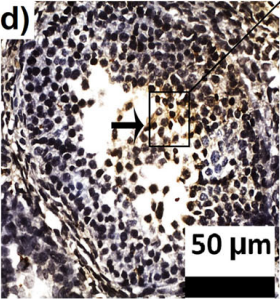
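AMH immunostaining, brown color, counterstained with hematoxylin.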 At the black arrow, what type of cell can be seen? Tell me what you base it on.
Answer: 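Many small round, densely packed cells with dark nuclei line a central cavity. The arrowed cells lie in the layers bordering the cavity. Some of these cells carry brown cytoplasmic stain.
Granulose cells.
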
